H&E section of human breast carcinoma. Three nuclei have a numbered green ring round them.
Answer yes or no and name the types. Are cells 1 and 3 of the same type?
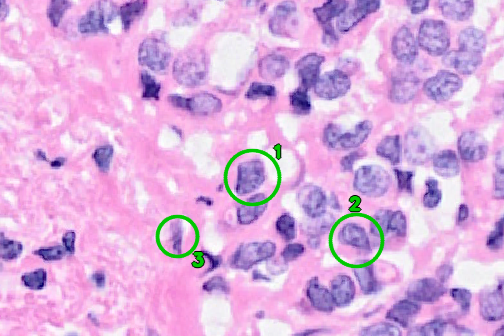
No, cell number 1 is a carcinoma cell, and cell number 3 is a fibroblast.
